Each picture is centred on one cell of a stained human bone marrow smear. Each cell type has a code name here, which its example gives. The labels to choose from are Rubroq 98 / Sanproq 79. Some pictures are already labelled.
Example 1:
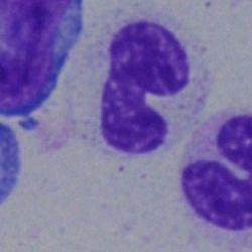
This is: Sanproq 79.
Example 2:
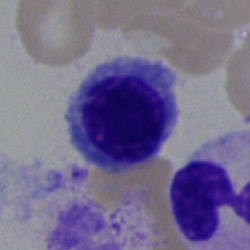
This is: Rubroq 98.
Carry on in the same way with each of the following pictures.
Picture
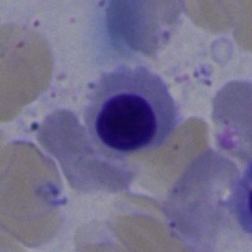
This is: Rubroq 98.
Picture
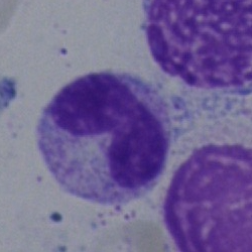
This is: Sanproq 79.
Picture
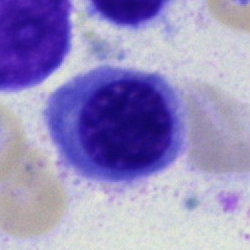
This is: Rubroq 98.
